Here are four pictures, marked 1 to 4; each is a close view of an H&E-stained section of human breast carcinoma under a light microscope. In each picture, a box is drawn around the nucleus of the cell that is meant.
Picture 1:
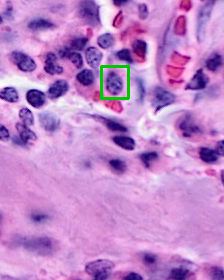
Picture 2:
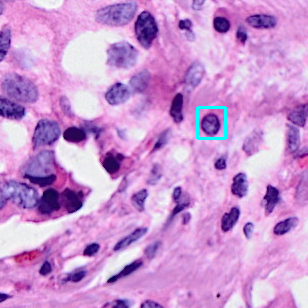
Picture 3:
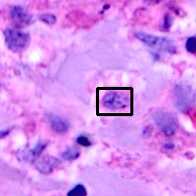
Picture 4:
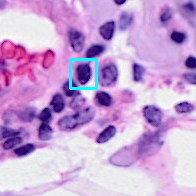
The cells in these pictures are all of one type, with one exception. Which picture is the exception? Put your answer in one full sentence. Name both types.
The different one is picture 4; it shows a lymphocyte, whereas all the others show mast cells.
